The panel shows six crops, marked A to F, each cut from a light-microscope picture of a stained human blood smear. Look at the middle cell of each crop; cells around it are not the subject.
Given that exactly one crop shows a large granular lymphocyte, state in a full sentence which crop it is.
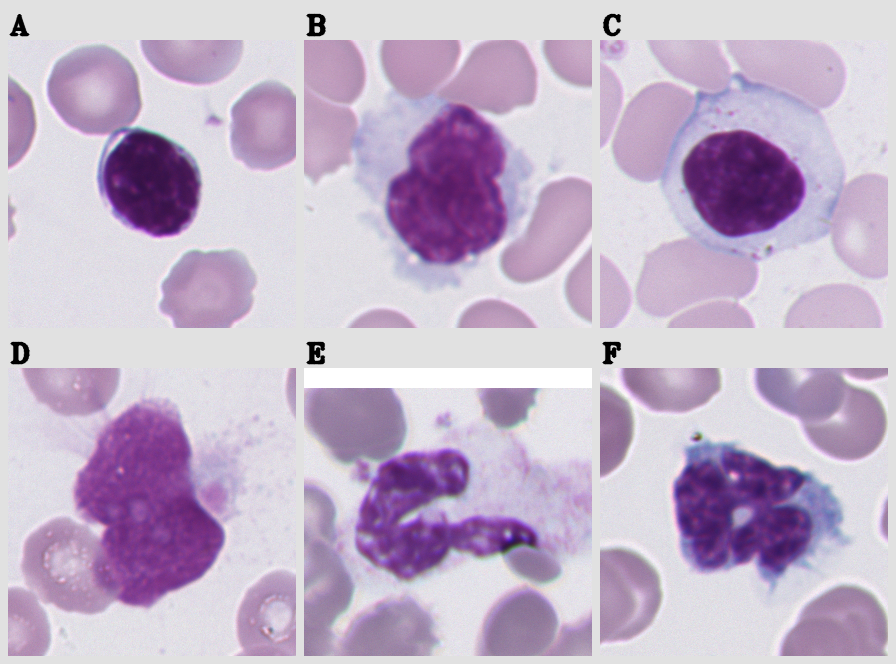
Crop C, and no other, shows a large granular lymphocyte.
